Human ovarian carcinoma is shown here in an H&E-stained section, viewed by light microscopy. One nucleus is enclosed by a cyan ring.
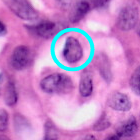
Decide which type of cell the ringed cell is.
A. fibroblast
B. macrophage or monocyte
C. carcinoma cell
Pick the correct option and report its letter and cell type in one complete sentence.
Option B is correct in stating that the ringed cell is a macrophage or monocyte.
